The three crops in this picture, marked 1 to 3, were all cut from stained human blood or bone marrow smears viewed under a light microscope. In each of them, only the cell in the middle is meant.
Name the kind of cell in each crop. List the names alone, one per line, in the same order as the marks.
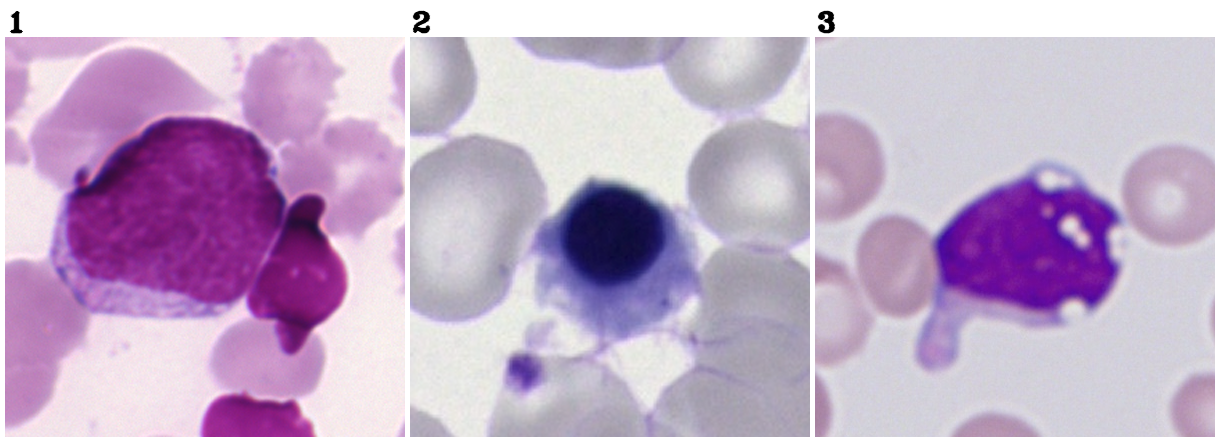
blast
erythroblast
blast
